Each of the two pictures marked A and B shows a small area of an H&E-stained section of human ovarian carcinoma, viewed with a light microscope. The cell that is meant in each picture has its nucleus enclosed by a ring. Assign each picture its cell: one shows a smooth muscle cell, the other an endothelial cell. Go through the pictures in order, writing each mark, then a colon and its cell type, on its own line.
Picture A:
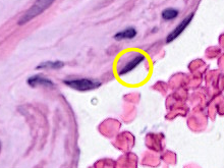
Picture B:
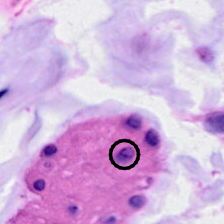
A: endothelial cell
B: smooth muscle cell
